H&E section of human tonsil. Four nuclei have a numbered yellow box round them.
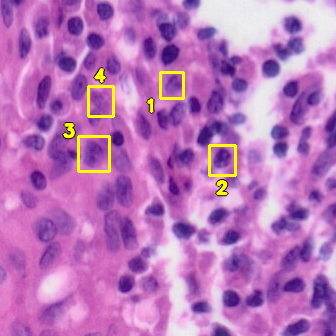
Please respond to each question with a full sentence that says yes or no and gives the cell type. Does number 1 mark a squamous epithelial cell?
No, the cell bearing number 1 is not a squamous epithelial cell but a plasma cell.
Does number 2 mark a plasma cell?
Yes, the cell with number 2 is a plasma cell.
